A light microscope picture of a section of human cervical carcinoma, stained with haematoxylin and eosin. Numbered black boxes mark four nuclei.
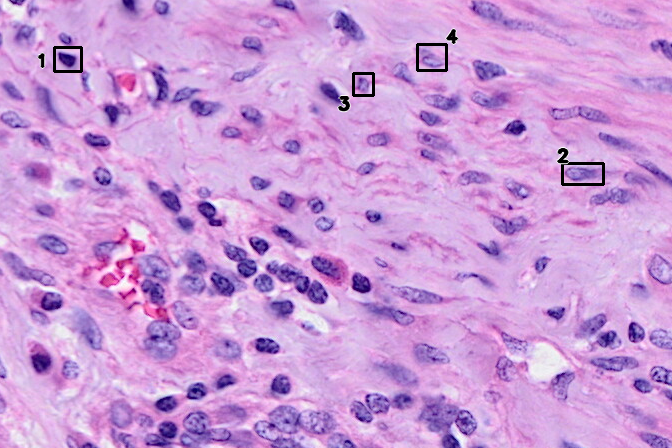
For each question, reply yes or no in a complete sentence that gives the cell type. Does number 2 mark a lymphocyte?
No, the cell at marker 2 is not a lymphocyte; it is a smooth muscle cell.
